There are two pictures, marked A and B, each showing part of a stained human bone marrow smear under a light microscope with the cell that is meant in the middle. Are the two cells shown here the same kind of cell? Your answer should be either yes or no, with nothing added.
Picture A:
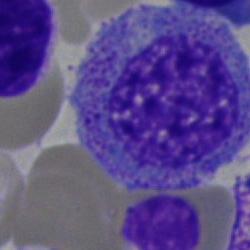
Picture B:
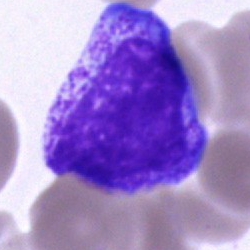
no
